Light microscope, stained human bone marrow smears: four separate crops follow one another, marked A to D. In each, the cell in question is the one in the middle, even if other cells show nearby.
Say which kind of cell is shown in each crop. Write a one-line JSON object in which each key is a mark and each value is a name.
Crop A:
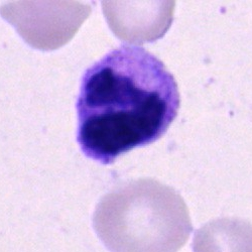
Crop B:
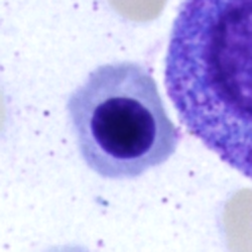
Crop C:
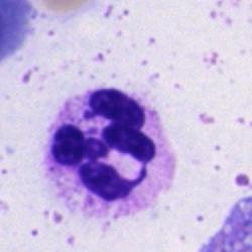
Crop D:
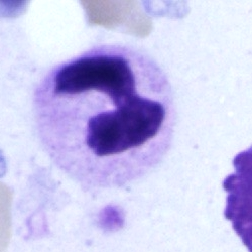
{"A": "segmented neutrophil", "B": "erythroblast", "C": "segmented neutrophil", "D": "segmented neutrophil"}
